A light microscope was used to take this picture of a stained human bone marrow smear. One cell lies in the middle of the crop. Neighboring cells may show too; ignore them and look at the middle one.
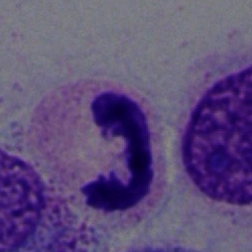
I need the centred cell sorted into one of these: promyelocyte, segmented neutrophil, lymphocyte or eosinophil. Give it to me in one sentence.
This crop is built around a segmented neutrophil at its centre.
